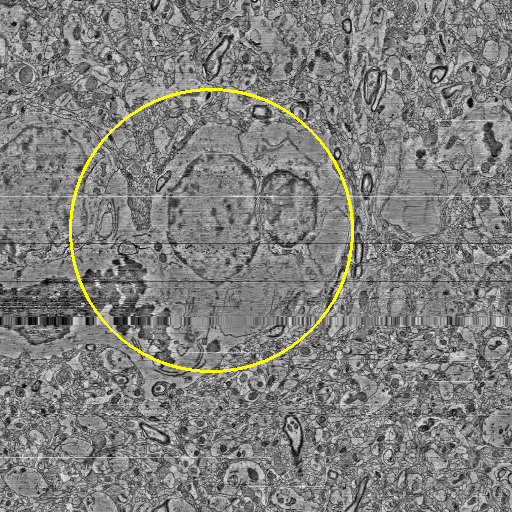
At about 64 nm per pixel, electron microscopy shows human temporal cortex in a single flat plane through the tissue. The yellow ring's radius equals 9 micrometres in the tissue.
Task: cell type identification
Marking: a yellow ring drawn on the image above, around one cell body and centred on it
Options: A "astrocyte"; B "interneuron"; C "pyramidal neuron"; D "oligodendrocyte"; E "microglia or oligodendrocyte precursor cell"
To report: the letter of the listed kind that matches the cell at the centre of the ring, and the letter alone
A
